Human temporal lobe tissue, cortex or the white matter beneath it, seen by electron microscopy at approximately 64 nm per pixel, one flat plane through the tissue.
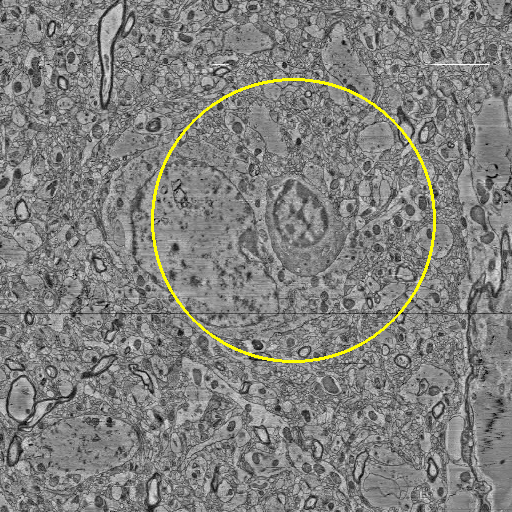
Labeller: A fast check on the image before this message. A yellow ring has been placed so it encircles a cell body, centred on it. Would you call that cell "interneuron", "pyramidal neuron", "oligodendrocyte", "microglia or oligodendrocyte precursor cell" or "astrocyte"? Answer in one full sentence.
In this image, an oligodendrocyte is the cell on which the yellow ring is centred.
